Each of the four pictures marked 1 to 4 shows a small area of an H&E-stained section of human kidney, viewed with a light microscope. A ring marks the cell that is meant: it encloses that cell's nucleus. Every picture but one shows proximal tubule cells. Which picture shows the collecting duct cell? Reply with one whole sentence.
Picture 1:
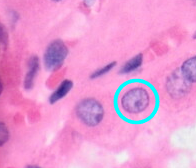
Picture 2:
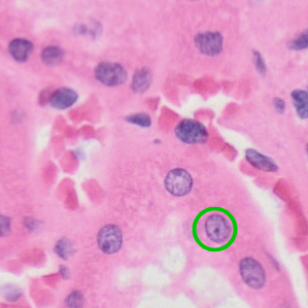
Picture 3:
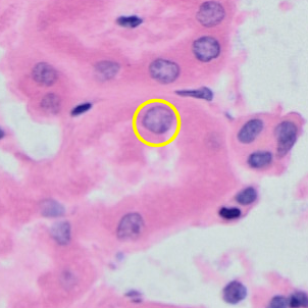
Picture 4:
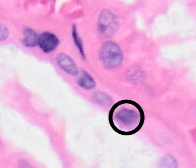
The collecting duct cell is the one in picture 4.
